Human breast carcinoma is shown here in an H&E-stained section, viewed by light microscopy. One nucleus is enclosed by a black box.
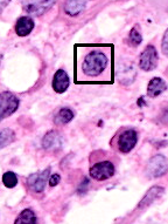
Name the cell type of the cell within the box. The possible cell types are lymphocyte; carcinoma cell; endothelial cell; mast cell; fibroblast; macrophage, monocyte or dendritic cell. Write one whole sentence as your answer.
The identity of the cell within the box: it is a mast cell.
